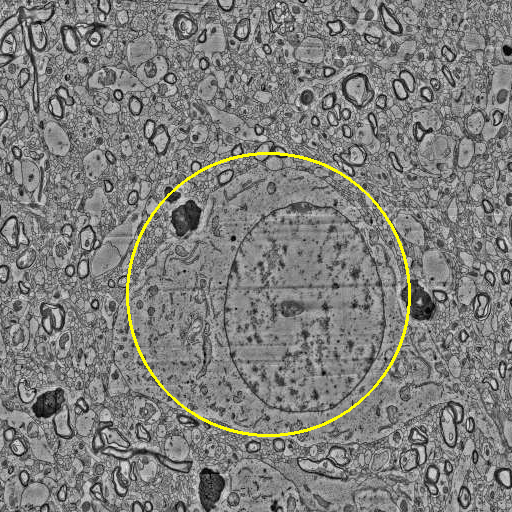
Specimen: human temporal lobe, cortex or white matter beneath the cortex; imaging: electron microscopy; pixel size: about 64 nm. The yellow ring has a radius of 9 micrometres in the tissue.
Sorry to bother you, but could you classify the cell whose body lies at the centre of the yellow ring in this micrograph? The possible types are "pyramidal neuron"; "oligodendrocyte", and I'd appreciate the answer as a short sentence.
The ringed cell body is that of a pyramidal neuron.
